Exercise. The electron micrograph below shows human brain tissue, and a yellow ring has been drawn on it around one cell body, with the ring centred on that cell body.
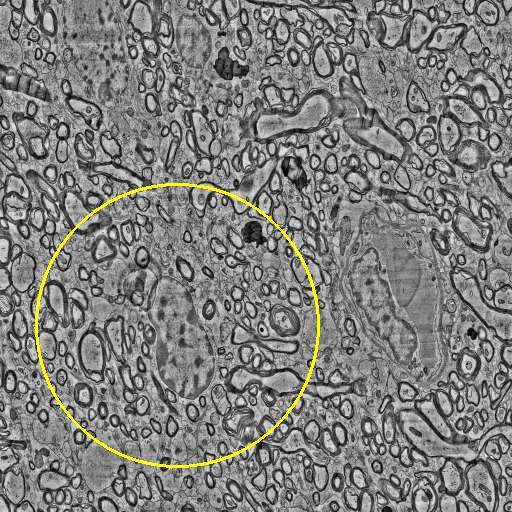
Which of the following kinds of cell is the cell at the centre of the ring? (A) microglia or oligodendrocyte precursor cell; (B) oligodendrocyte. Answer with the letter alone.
A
